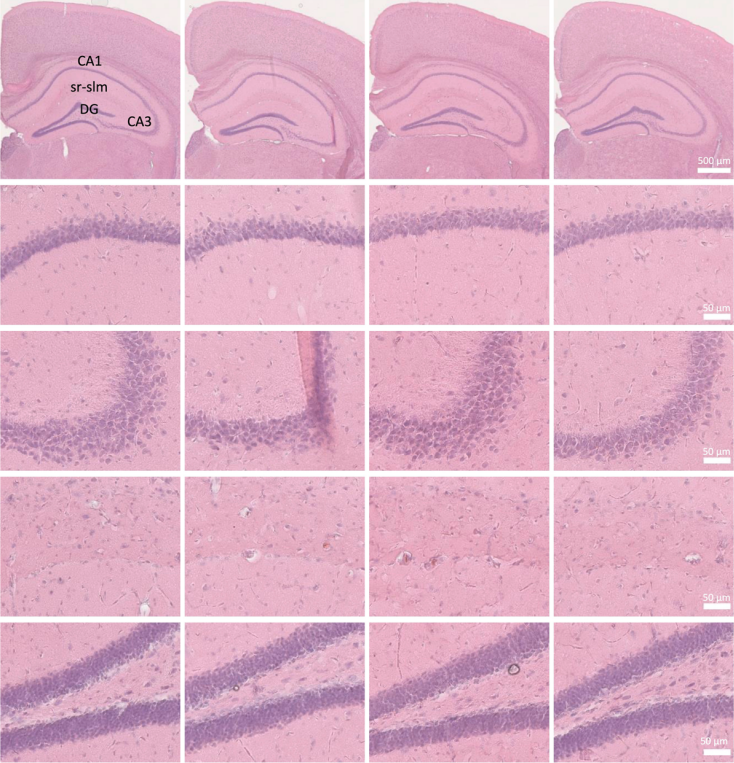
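At higher magnification, the cell layers appear as bands of closely spaced round to oval purple nuclei, narrow and compact in one region and broader and looser along the curved part of the band. The layer between these cell bands holds scattered single nuclei and small vessels within pale pink neuropil. The dentate-like region shows two parallel blades of small, densely packed cells. The layering and cell density look alike across the four columns.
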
